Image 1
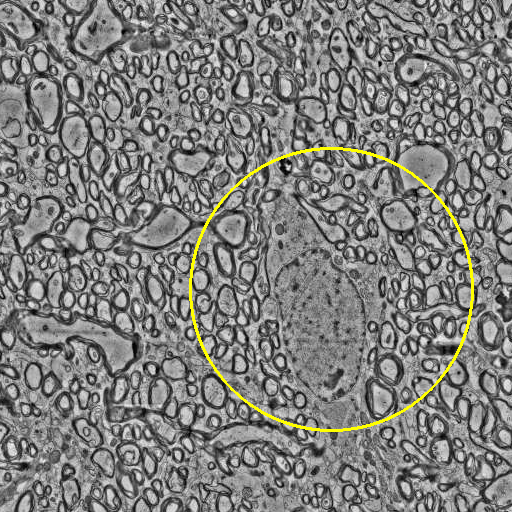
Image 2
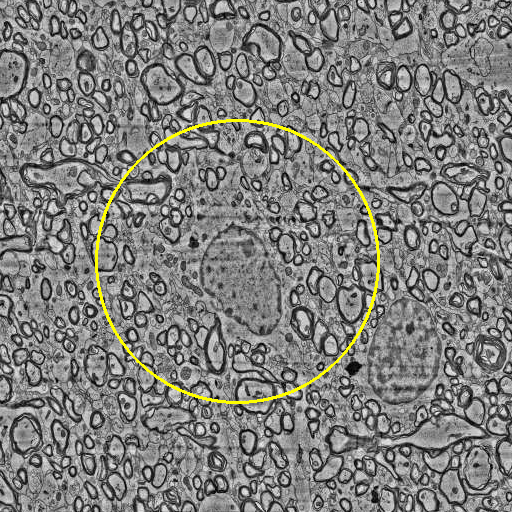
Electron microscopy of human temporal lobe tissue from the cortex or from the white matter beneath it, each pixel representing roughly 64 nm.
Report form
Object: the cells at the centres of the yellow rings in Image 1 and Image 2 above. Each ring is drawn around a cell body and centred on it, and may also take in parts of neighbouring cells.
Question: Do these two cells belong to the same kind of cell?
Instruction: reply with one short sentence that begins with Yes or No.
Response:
Yes, both belong to the same kind of cell.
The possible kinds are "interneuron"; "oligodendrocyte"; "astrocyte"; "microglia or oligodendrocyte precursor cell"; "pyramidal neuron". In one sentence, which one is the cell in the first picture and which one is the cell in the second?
The second cell is an astrocyte, just as the first is.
